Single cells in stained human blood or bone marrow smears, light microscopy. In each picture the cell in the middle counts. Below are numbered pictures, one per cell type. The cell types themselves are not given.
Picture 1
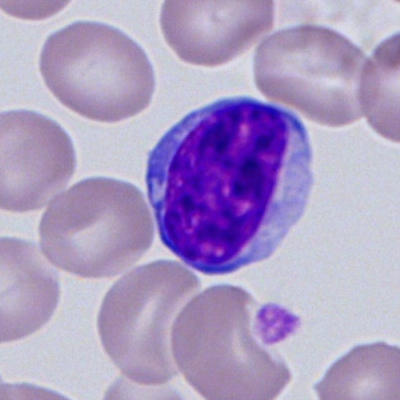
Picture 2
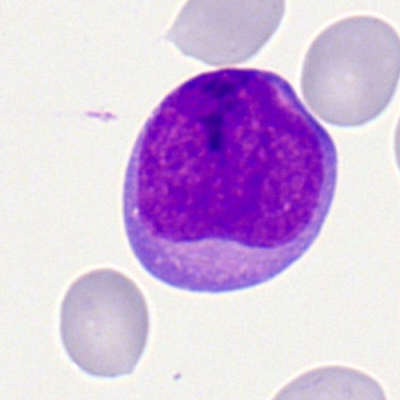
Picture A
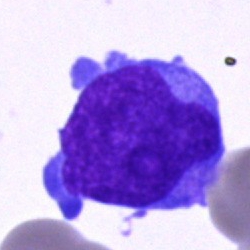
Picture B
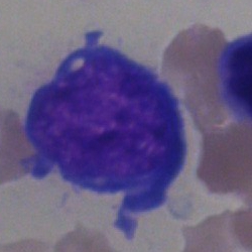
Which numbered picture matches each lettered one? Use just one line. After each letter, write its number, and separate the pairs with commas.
A 2, B 2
